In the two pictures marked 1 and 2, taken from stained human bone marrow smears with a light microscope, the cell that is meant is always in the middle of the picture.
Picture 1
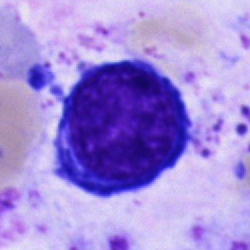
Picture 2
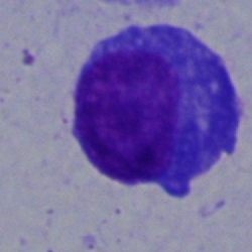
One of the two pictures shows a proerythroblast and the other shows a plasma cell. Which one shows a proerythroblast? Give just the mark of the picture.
1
